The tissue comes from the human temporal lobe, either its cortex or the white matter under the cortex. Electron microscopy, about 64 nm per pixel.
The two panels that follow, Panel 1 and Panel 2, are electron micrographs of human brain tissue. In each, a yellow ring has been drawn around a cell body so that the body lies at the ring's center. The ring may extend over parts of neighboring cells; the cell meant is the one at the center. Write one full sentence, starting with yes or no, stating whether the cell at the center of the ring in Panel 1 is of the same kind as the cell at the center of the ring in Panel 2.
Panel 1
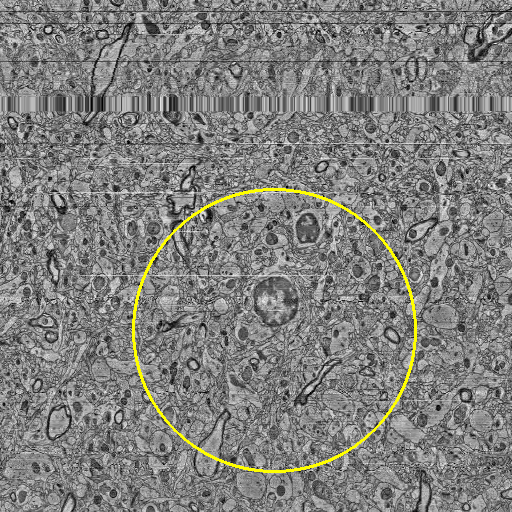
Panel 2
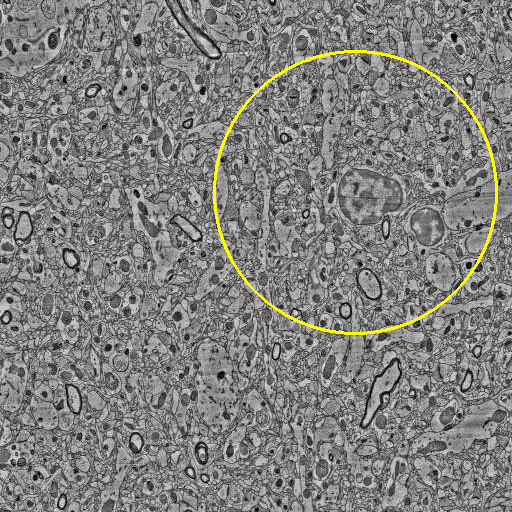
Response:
Yes, the cells in both panels are of the same kind.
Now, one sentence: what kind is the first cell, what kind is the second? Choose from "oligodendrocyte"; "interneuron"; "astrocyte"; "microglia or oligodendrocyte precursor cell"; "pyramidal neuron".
In both pictures the ring is centred on a microglial cell or oligodendrocyte precursor cell.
